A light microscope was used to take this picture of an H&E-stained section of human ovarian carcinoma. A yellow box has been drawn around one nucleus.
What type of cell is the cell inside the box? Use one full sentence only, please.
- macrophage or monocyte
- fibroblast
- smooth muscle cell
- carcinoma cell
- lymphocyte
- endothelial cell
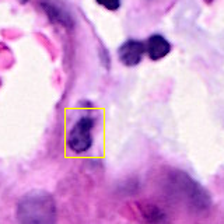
To be brief about it, the cell inside the box is a lymphocyte.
